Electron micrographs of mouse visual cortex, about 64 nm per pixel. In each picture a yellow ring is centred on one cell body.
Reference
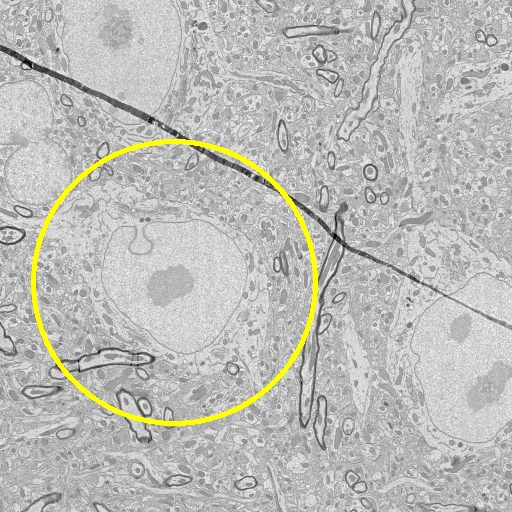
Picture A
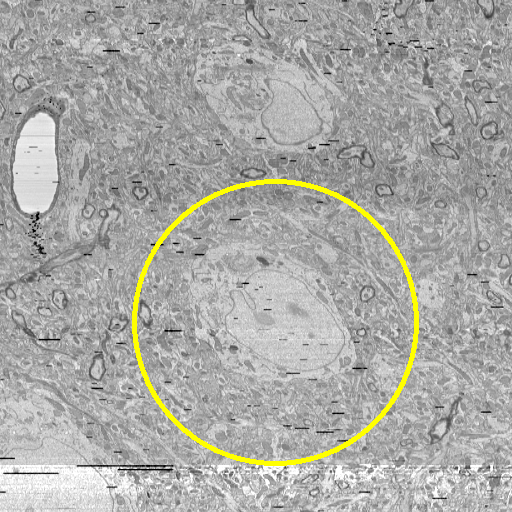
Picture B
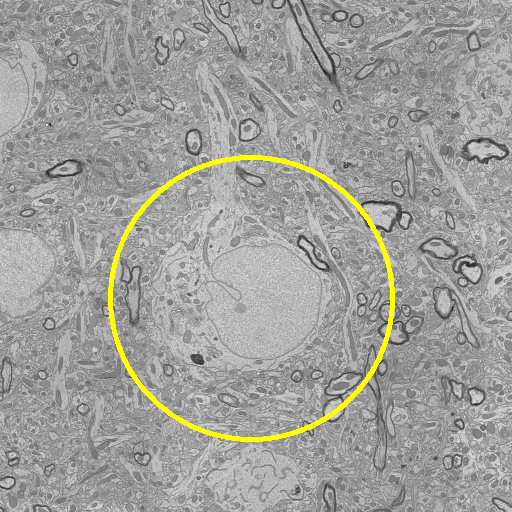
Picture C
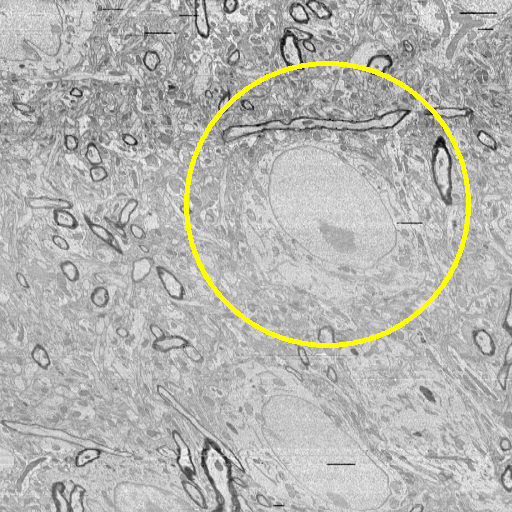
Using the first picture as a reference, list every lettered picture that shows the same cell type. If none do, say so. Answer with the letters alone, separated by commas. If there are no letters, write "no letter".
A, B, C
